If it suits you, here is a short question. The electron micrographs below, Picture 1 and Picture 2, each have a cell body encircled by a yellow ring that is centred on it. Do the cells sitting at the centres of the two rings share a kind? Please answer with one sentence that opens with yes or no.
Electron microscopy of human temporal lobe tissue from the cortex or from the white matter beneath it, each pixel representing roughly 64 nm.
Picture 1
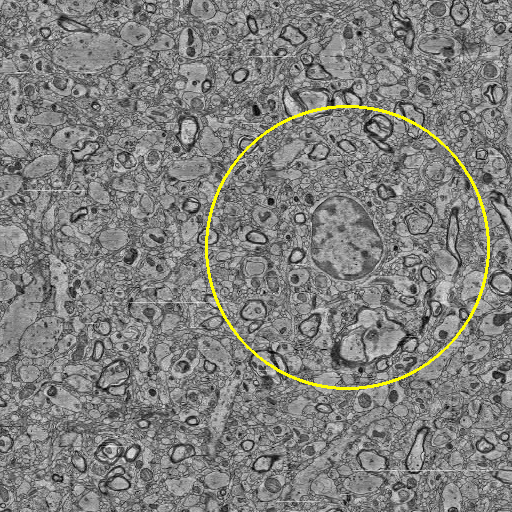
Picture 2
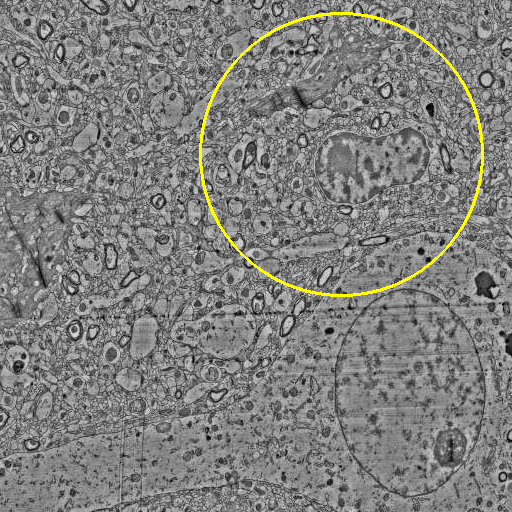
Yes, the two cells sitting at the ring centres share a single kind.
